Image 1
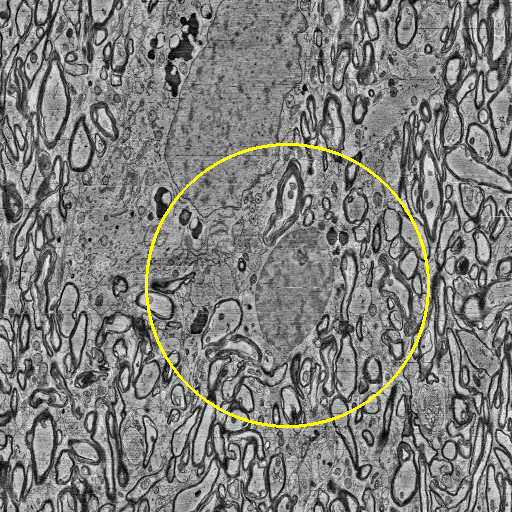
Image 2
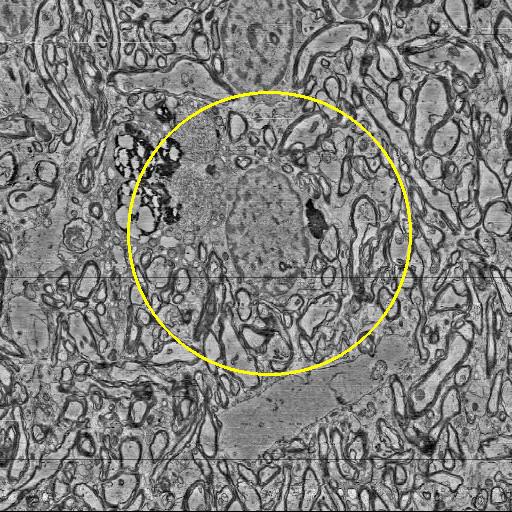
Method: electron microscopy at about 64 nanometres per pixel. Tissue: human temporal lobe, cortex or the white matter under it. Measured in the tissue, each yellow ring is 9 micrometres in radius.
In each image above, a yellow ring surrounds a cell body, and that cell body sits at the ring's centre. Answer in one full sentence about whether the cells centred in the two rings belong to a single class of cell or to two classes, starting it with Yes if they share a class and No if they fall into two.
Yes, the cells centred in the two yellow rings belong to a single class of cell.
